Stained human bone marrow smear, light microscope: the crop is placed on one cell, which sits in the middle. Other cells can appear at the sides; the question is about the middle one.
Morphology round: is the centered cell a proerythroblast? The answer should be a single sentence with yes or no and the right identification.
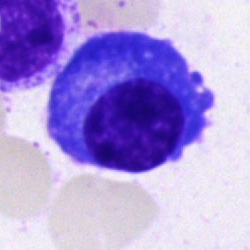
No, the cell of interest here is a plasma cell and not a proerythroblast.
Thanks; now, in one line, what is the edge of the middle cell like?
A smooth outline is absent here, replaced by ragged stretches or projections.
